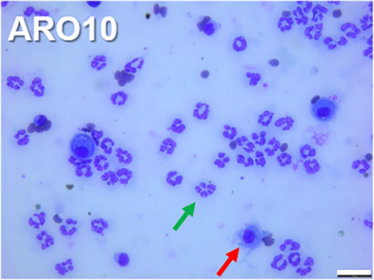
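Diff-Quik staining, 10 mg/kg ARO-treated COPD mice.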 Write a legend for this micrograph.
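The neutrophils carry dark purple nuclei broken into several lobes, some shaped like rings or horseshoes, with scant cytoplasm. The macrophages are rounder cells with a single unlobed nucleus and a rim or broad mantle of pale blue cytoplasm, the largest of them well above the size of the neutrophils. The cells lie loosely scattered, with open space between the clusters.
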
